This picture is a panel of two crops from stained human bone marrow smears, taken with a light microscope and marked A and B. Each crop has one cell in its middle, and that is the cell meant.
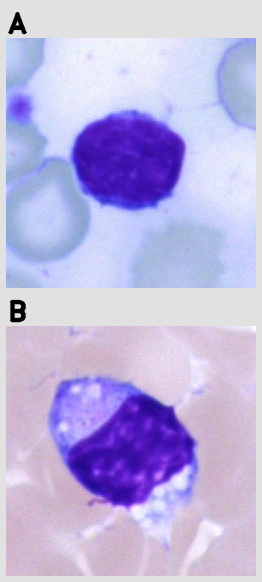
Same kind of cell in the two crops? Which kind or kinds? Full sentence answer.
Yes, both crops show lymphocytes in their central position.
